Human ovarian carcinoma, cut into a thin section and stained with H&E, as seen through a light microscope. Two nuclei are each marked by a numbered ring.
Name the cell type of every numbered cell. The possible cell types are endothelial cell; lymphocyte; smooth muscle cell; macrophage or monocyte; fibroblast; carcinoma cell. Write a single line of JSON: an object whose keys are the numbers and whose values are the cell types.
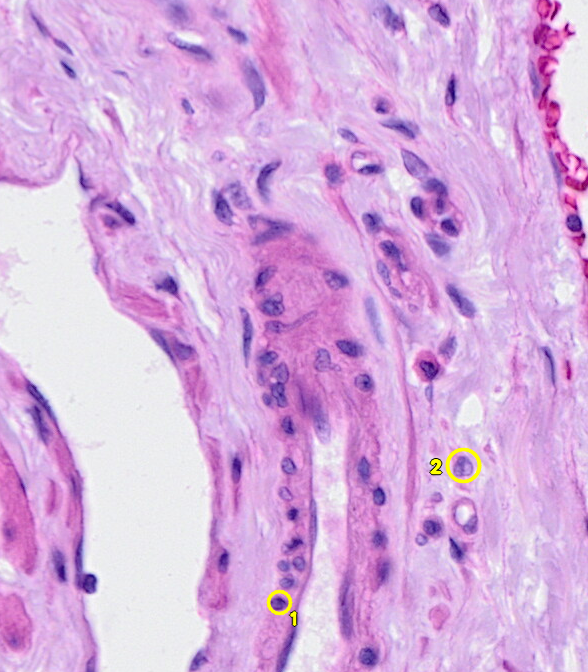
{"1": "smooth muscle cell", "2": "macrophage or monocyte"}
